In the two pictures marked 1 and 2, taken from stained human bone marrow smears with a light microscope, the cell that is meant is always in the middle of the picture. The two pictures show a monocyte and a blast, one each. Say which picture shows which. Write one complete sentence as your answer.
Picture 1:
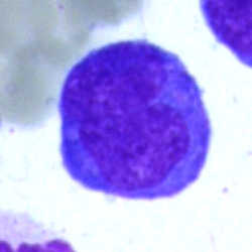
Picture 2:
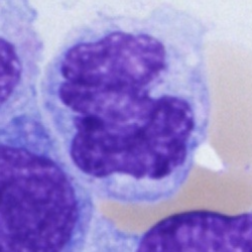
It is picture 1 that shows a blast, and picture 2 that shows a monocyte.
